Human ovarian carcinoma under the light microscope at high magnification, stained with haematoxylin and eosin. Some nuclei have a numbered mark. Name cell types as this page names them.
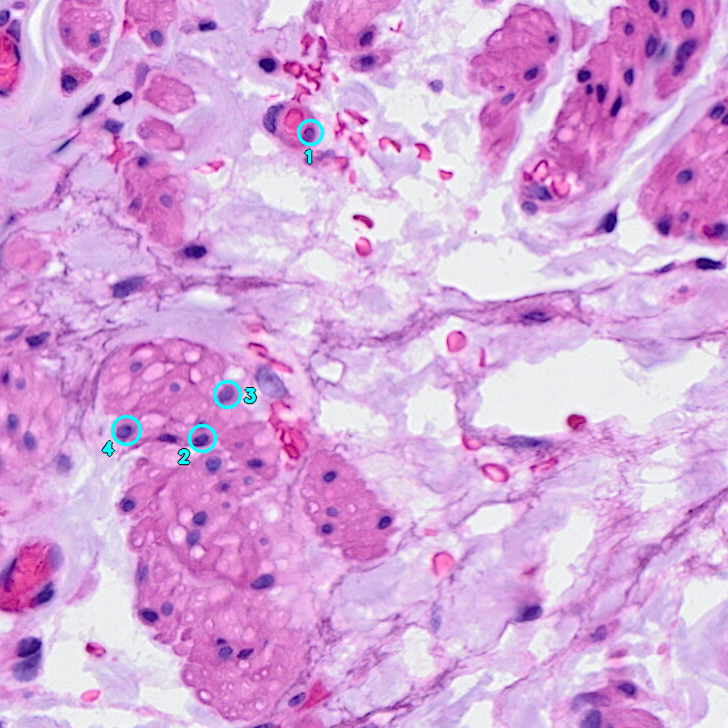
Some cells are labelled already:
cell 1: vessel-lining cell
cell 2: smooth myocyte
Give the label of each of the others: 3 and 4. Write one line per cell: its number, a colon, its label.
3: smooth myocyte
4: smooth myocyte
